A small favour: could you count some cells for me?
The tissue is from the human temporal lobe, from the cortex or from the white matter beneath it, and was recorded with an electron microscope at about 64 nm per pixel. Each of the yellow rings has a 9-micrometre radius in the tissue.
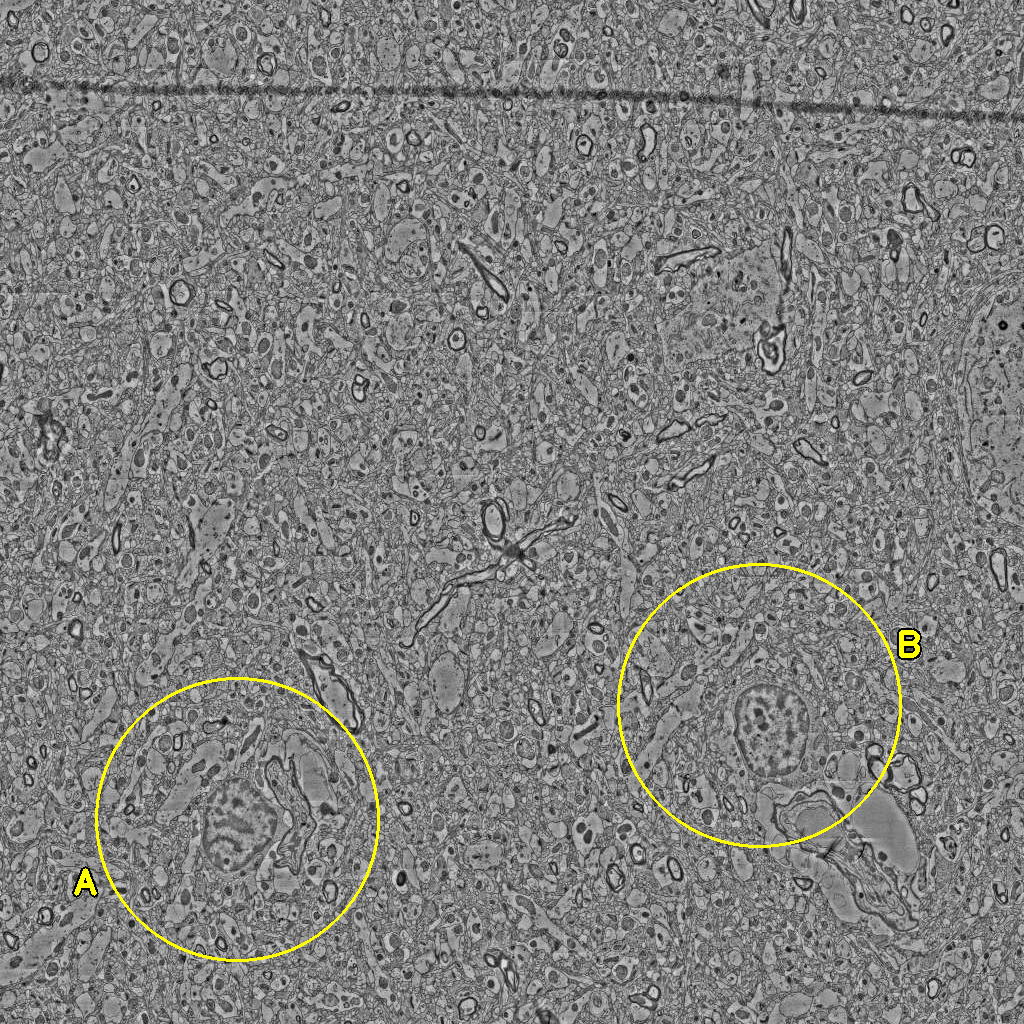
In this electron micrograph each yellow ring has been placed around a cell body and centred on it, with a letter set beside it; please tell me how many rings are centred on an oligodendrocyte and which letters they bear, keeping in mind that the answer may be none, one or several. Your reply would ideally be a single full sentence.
Each of the rings lettered A and B is centred on an oligodendrocyte, making two such rings.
